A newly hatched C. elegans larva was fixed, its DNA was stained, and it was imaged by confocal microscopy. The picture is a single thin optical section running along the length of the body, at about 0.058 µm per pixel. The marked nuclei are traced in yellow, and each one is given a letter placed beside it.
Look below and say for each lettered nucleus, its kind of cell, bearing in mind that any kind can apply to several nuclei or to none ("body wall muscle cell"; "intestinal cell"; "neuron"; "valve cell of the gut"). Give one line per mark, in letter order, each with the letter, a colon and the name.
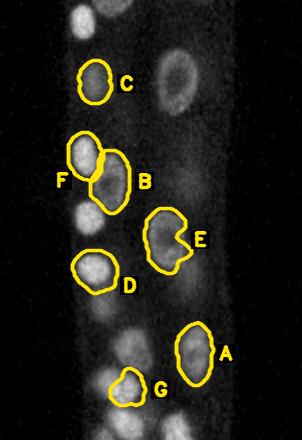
A: intestinal cell
B: intestinal cell
C: body wall muscle cell
D: neuron
E: intestinal cell
F: neuron
G: neuron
